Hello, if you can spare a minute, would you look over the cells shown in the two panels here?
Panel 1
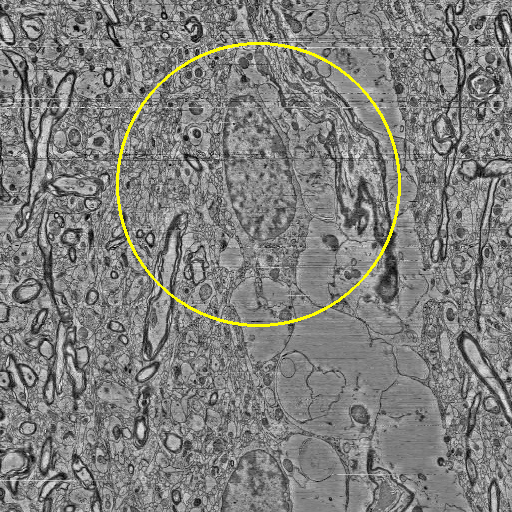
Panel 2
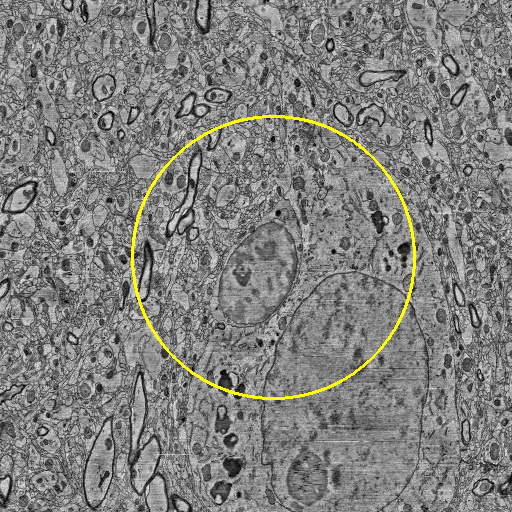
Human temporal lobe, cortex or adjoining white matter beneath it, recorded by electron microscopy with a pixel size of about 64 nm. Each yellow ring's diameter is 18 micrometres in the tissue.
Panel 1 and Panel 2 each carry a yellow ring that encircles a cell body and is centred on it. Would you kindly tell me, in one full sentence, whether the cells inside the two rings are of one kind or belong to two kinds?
The cells at the centres of the rings in Panel 1 and Panel 2 are of one kind.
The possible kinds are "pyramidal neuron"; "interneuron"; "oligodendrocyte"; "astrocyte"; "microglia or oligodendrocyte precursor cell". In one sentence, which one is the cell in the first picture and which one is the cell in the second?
In each picture the ringed cell is an oligodendrocyte.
